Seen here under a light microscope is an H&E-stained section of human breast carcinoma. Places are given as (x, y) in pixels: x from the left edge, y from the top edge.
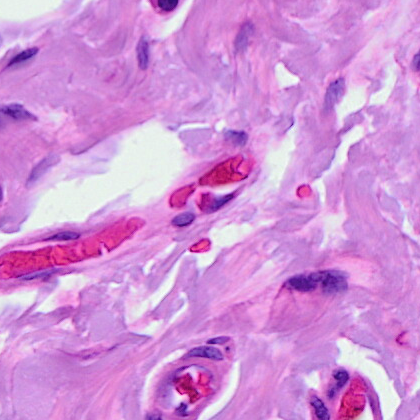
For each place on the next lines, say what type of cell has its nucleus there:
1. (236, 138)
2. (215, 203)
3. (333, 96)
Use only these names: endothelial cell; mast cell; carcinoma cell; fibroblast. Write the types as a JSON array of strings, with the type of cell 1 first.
["fibroblast", "endothelial cell", "fibroblast"]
